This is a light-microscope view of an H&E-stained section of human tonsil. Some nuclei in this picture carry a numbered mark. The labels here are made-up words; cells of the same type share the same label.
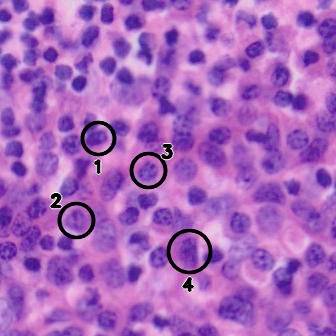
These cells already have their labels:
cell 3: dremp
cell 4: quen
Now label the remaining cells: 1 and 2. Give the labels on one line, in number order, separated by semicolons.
dremp; dremp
